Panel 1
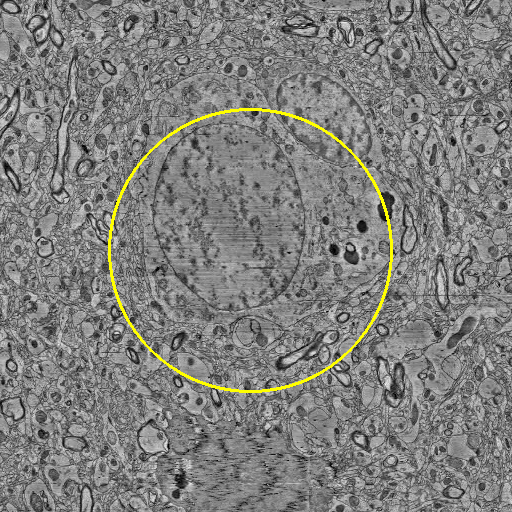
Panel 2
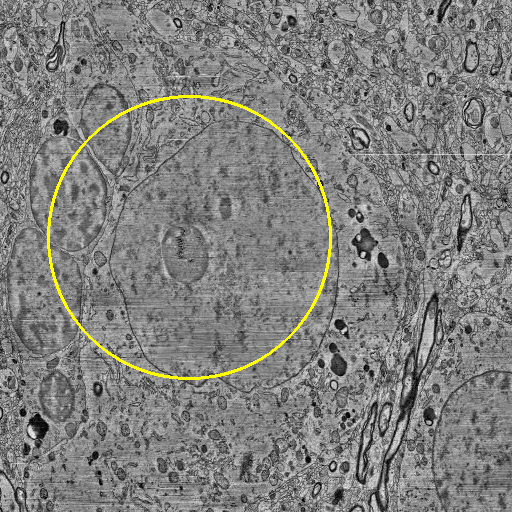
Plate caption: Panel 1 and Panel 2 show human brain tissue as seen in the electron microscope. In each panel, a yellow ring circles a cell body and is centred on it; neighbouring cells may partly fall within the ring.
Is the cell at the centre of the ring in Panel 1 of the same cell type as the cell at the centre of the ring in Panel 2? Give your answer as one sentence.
Yes, the two cells are of the same type.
